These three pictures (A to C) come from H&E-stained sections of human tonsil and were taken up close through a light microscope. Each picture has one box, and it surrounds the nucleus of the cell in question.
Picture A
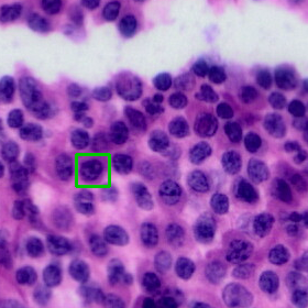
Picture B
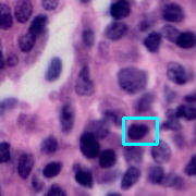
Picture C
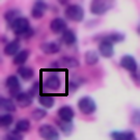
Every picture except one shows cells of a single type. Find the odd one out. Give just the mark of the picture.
C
